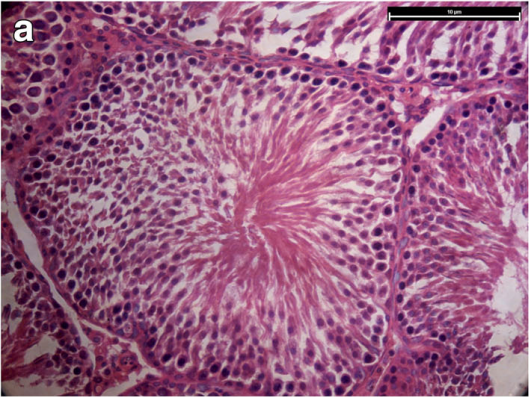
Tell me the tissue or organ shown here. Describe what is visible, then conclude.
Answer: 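Testes. A round tubule is lined by many layers of closely packed cells with dark nuclei. Pink tail-like filaments converge in a bundle at the tubule's centre. Neighbouring tubules are separated by thin strands of tissue.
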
